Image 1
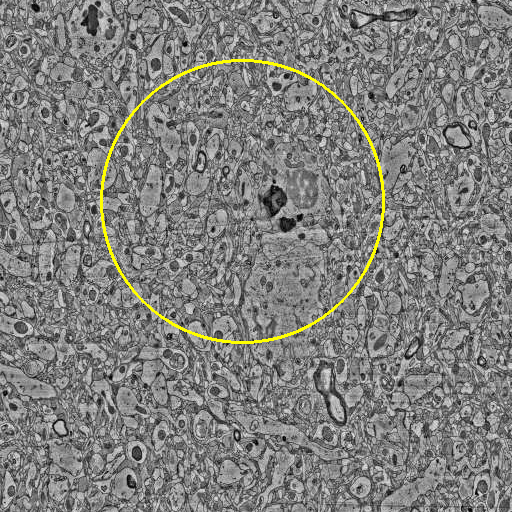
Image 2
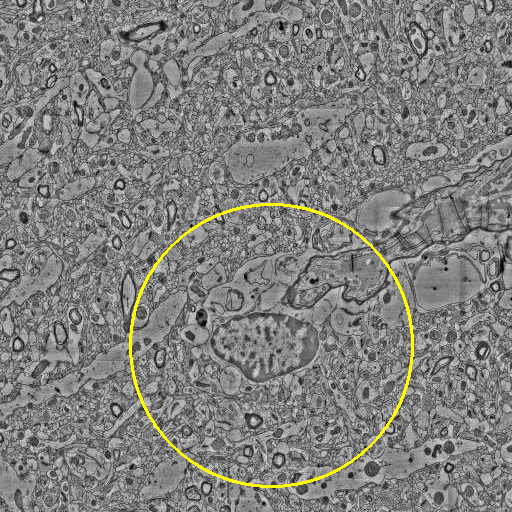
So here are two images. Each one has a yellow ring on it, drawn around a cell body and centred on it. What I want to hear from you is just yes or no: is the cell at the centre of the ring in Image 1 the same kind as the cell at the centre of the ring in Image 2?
no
